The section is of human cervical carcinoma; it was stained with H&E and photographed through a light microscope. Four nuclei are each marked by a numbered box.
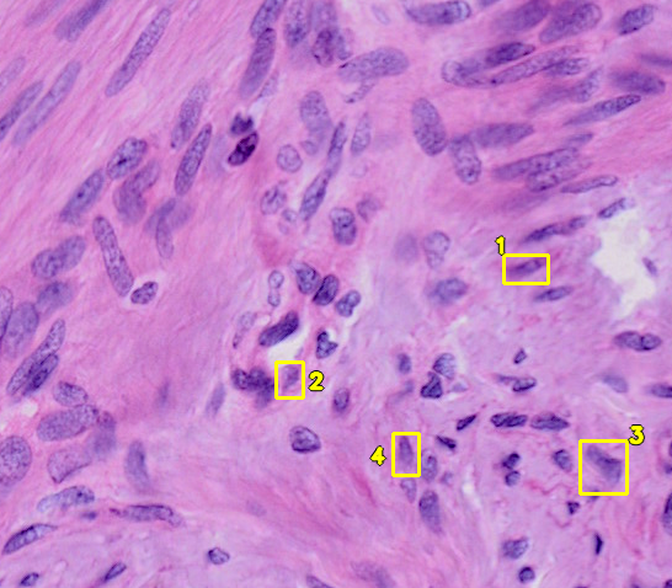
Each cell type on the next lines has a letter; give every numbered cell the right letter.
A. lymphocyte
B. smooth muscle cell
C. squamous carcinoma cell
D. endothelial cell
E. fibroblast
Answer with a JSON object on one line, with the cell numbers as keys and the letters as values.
{"1": "B", "2": "D", "3": "E", "4": "B"}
